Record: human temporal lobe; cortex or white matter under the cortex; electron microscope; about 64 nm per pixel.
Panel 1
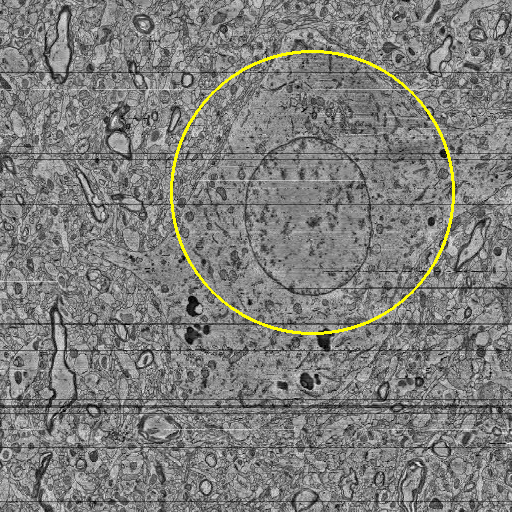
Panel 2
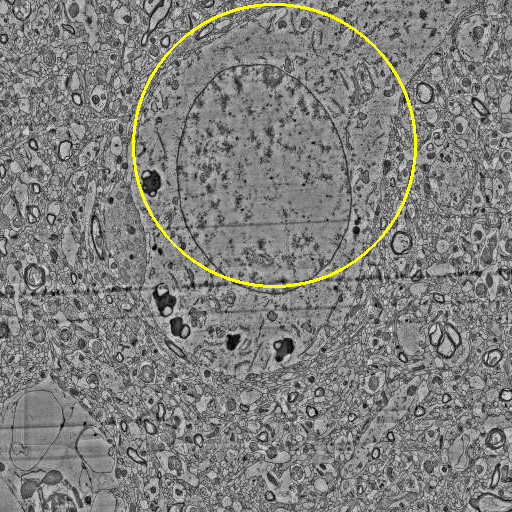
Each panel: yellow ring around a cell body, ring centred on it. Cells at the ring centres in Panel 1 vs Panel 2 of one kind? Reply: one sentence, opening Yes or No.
Yes, Panel 1 and Panel 2 have cells of one kind at the ring centres.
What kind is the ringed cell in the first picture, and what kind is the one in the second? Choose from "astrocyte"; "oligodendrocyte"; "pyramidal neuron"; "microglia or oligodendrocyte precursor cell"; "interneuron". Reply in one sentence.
In each picture the ringed cell is a pyramidal neuron.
